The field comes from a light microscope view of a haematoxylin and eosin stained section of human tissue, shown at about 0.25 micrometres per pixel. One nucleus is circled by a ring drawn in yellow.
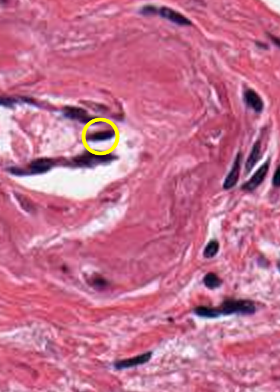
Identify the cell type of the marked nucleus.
endothelial cell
